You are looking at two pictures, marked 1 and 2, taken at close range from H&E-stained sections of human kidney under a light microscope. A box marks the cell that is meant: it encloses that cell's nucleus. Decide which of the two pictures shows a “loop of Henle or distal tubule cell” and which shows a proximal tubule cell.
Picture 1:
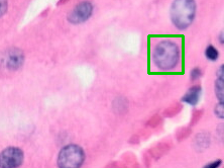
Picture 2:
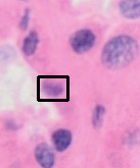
1: proximal tubule cell
2: loop of Henle or distal tubule cell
